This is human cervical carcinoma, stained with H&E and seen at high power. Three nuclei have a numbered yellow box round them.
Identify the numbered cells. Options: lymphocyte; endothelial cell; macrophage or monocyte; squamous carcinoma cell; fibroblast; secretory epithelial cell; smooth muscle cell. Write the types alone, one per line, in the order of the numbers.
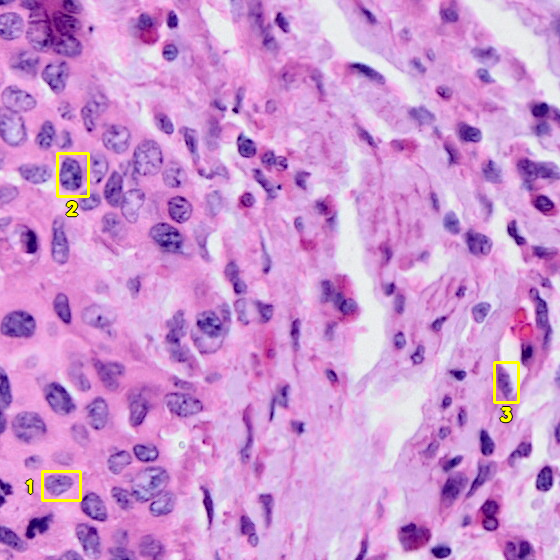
squamous carcinoma cell
squamous carcinoma cell
endothelial cell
